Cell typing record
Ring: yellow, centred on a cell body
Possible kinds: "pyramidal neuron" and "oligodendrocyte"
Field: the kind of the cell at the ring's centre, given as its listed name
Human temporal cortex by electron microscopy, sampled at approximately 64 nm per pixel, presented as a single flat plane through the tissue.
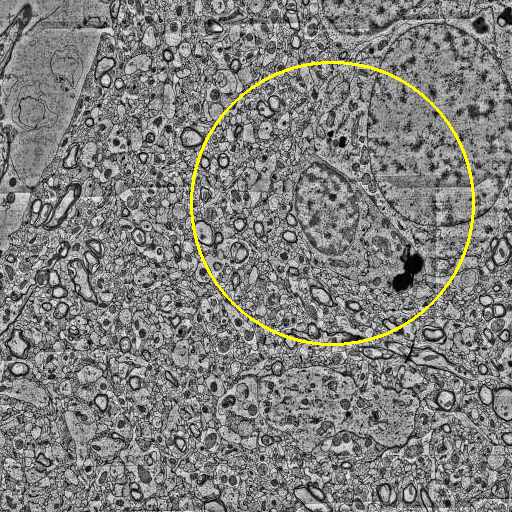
oligodendrocyte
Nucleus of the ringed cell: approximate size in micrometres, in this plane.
The nucleus comes to roughly 6 by 4 micrometres in this plane.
